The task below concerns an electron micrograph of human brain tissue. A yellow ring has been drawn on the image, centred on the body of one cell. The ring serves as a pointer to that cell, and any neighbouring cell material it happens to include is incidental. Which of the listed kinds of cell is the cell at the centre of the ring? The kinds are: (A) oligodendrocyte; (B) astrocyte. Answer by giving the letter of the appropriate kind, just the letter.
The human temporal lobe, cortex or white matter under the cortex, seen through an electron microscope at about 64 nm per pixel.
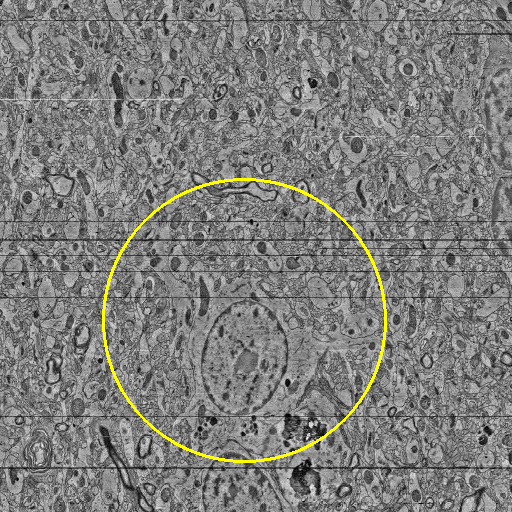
B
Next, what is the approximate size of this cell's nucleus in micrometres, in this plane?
About 8 by 5 micrometers, in this plane.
